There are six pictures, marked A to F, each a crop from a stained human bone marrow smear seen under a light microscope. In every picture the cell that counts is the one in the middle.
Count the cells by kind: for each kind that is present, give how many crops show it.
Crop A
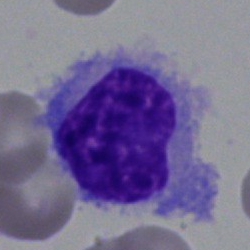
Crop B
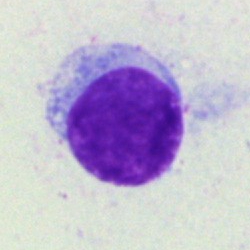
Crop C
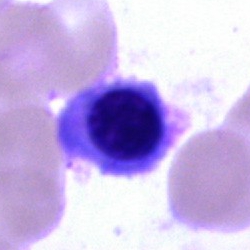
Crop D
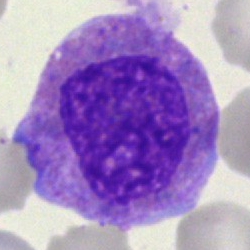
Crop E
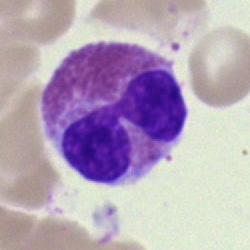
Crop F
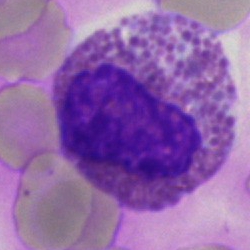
eosinophil: 3
hairy cell: 2
erythroblast: 1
